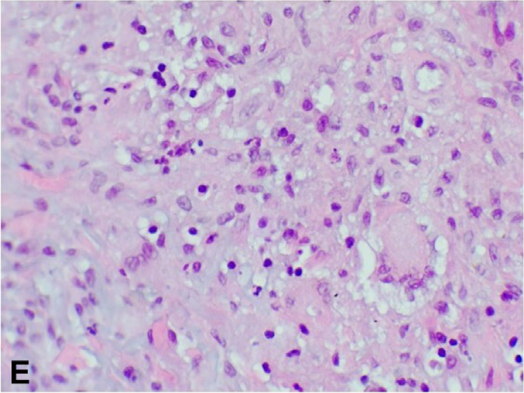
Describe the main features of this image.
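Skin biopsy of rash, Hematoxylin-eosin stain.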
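This is dermis with a granulomatous inflammatory infiltrate. Pale histiocyte-like cells with oval, vesicular nuclei and pale pink cytoplasm make up much of the field. Many small cells with round, dense, dark purple nuclei lie between them. Some of these small cells sit within clear halos, and these are likely lymphocytes. On the right a rounded structure with a pale pink centre is surrounded by clear spaces. No necrosis is seen.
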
